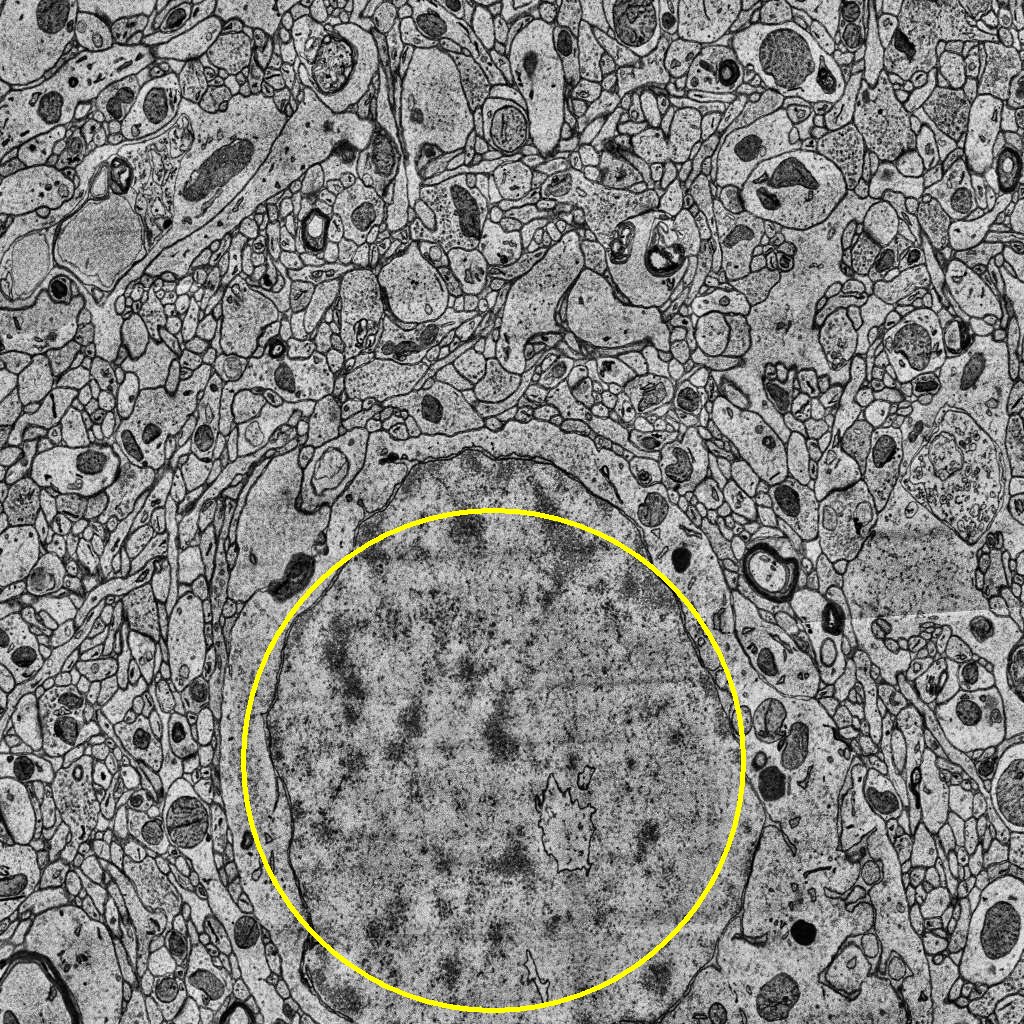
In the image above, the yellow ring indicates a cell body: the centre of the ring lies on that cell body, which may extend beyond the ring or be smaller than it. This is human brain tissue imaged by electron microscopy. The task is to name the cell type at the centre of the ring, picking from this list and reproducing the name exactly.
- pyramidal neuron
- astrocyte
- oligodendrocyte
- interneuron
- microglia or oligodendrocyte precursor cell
interneuron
